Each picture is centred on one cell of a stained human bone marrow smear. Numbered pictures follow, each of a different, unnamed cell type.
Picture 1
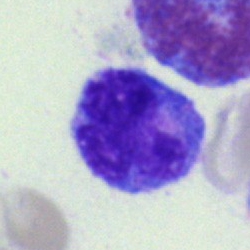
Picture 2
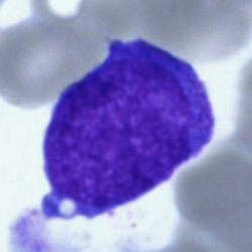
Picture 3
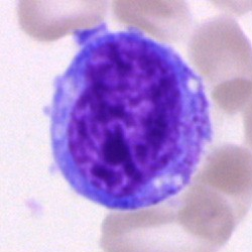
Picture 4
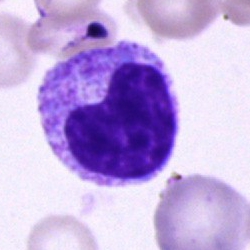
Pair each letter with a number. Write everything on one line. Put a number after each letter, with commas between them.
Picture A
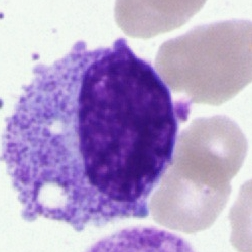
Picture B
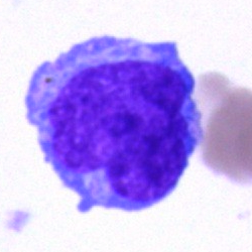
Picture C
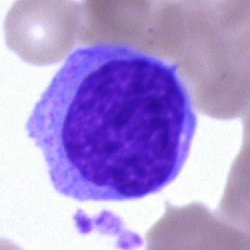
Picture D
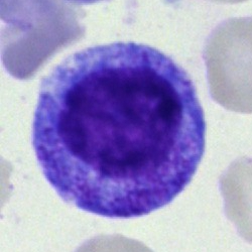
A 3, B 2, C 2, D 3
